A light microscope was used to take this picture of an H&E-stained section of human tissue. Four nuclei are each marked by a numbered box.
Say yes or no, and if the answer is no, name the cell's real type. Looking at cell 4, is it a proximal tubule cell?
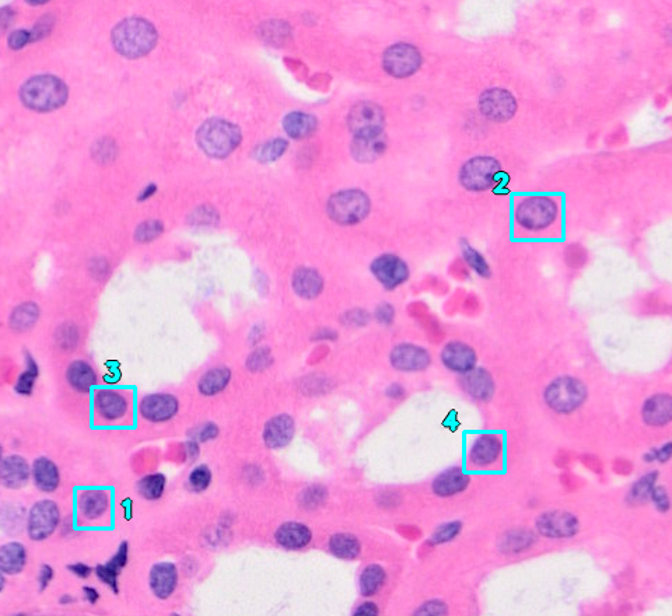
No, it is a loop of Henle or distal tubule cell.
